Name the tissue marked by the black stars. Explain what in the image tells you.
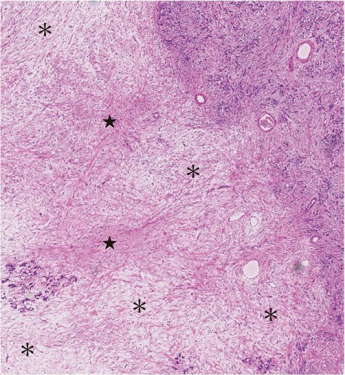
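The black stars lie on denser, more deeply pink bands of fibrillar stroma. These bands run between paler loose areas.
Conclusion: fibrous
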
